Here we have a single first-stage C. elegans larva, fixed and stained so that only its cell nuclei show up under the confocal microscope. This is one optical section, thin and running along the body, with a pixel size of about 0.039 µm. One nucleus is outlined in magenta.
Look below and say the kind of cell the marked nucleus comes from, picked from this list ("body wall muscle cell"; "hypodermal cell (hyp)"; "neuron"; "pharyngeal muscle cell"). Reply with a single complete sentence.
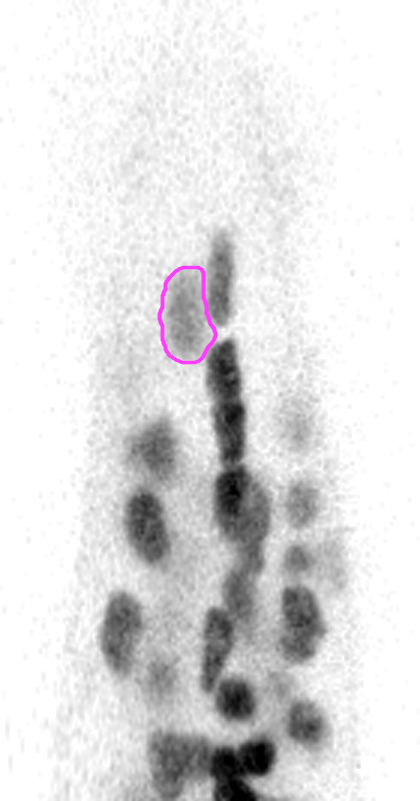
The marked nucleus is that of a hypodermal cell (hyp).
